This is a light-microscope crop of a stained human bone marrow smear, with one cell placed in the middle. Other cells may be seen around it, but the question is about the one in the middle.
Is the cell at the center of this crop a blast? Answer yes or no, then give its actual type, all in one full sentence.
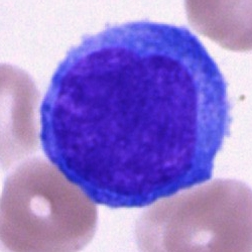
Yes, the cell in the exact middle is a blast.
